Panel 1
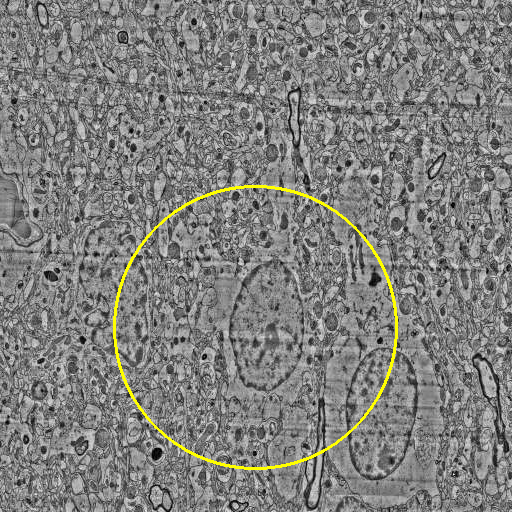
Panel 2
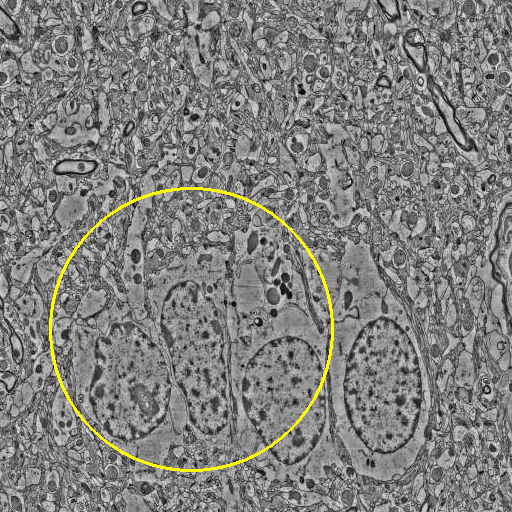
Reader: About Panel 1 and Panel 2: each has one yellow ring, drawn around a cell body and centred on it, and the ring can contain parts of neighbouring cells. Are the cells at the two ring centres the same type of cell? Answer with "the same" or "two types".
the same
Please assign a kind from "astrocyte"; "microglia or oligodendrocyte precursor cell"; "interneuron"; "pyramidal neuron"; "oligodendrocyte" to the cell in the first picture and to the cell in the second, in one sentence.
The cell in the first picture is an astrocyte, and so is the one in the second.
